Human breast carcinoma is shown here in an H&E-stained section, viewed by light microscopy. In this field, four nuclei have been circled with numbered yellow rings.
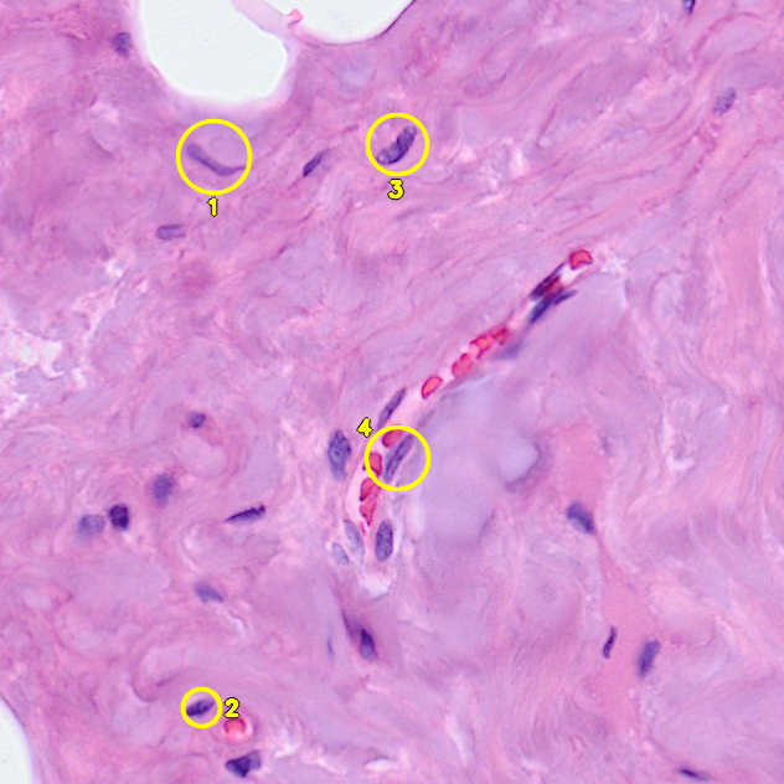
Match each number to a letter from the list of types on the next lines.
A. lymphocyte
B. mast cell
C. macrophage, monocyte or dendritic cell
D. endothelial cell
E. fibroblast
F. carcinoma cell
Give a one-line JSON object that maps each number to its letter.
{"1": "E", "2": "E", "3": "E", "4": "D"}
